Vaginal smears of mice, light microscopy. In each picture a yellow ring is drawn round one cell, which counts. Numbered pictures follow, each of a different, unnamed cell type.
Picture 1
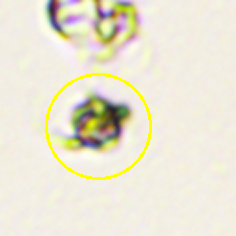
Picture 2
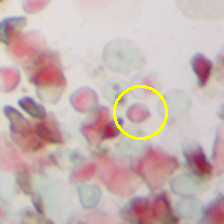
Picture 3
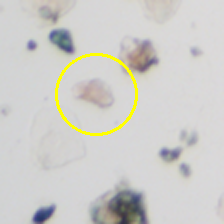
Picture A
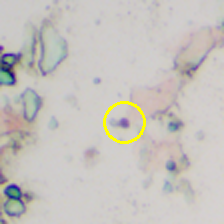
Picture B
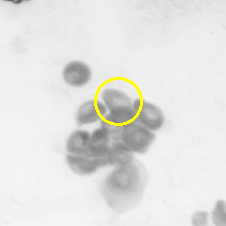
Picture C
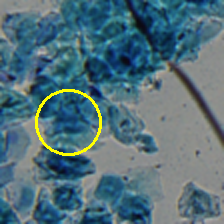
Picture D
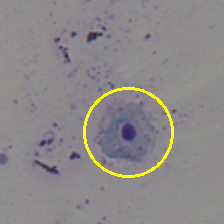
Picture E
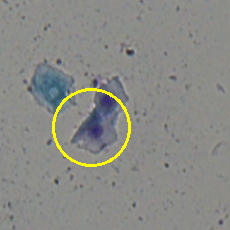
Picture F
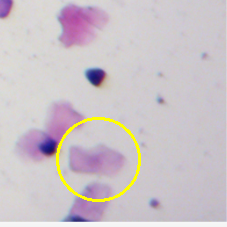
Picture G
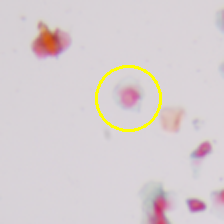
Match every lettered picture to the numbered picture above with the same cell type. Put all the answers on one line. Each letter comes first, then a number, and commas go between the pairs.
A 1, B 2, C 3, D 2, E 2, F 3, G 2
